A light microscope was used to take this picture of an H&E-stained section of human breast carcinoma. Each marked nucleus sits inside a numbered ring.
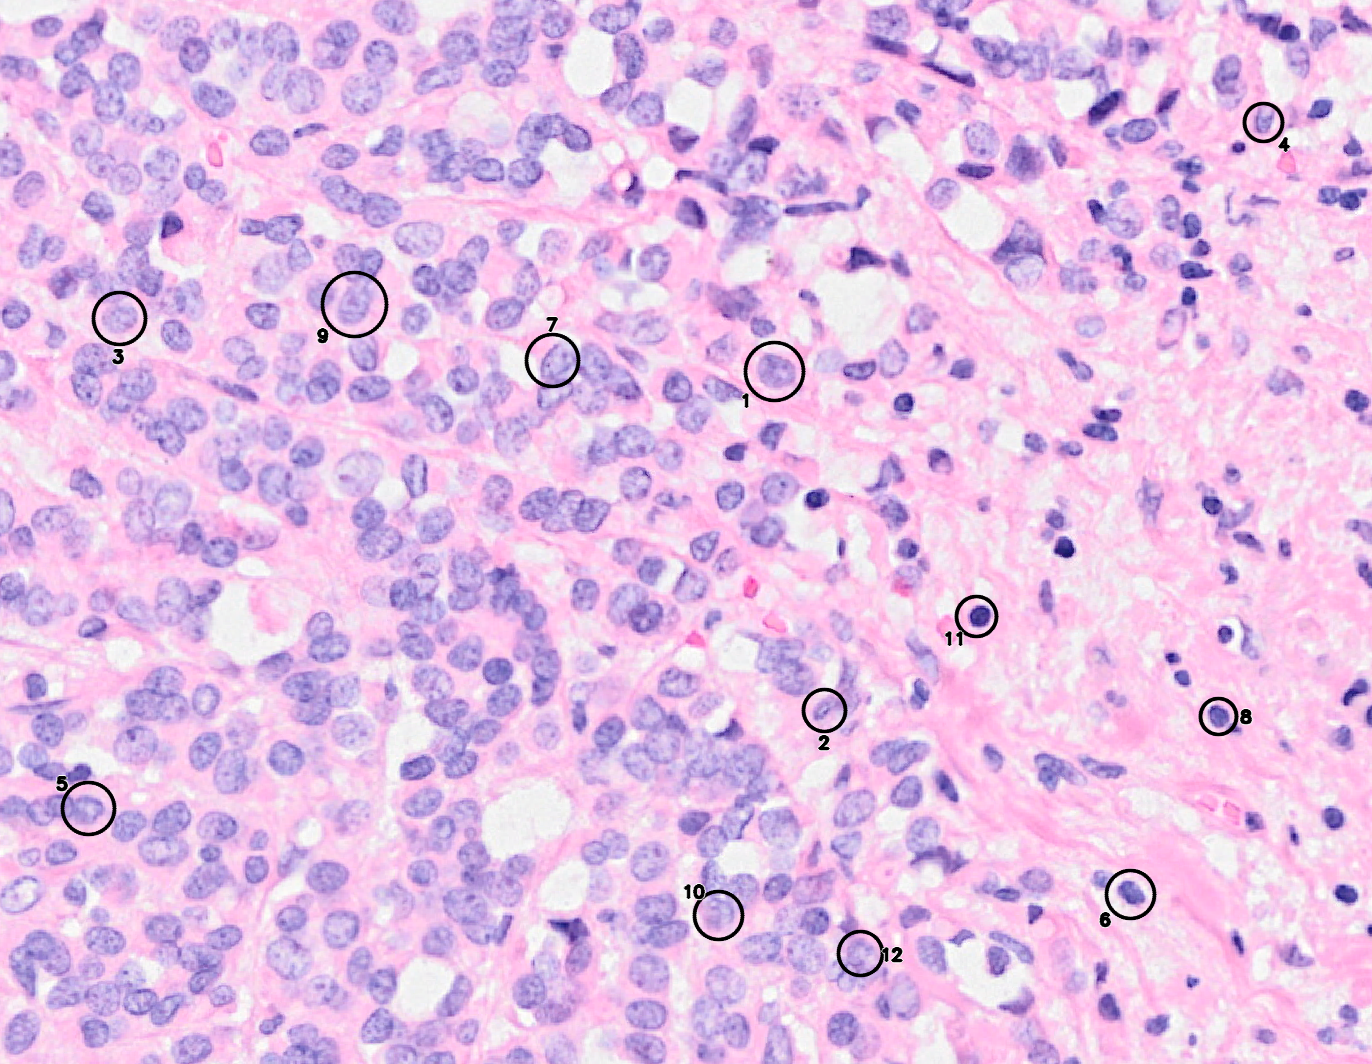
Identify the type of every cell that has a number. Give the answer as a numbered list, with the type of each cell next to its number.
1. carcinoma cell
2. endothelial cell
3. carcinoma cell
4. endothelial cell
5. carcinoma cell
6. lymphocyte
7. carcinoma cell
8. lymphocyte
9. carcinoma cell
10. carcinoma cell
11. lymphocyte
12. carcinoma cell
